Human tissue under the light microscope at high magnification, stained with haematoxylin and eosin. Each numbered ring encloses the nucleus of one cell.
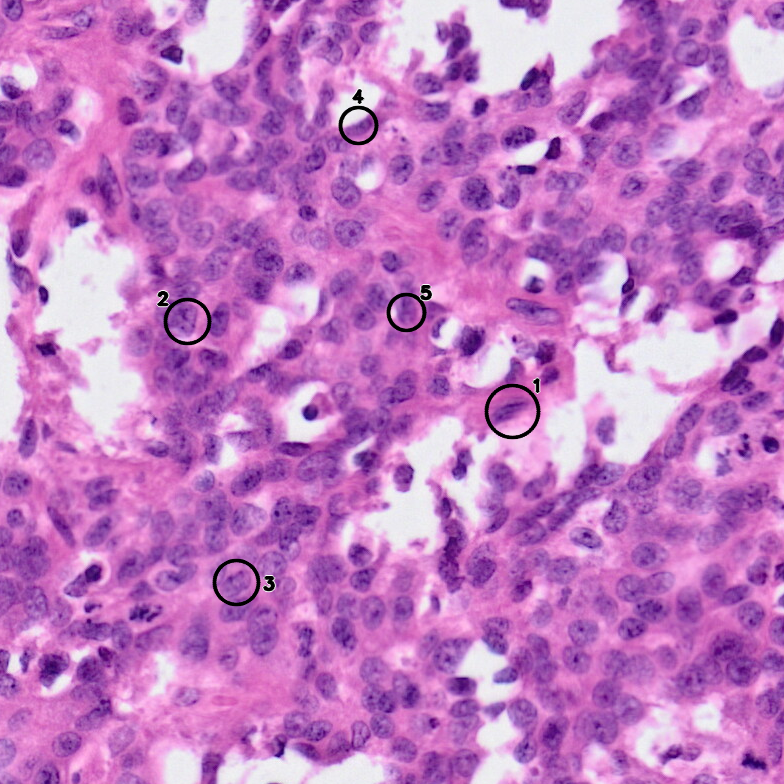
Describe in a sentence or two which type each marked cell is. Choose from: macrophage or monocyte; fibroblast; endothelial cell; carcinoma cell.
Cell 1 is an endothelial cell. Cell 2 is a macrophage or monocyte. Cells 3, 4 and 5 are carcinoma cells.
